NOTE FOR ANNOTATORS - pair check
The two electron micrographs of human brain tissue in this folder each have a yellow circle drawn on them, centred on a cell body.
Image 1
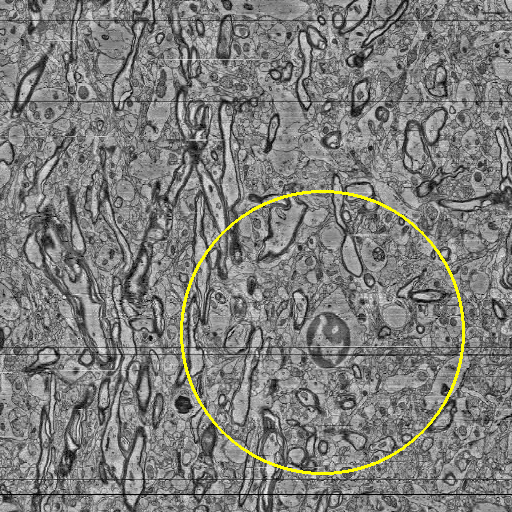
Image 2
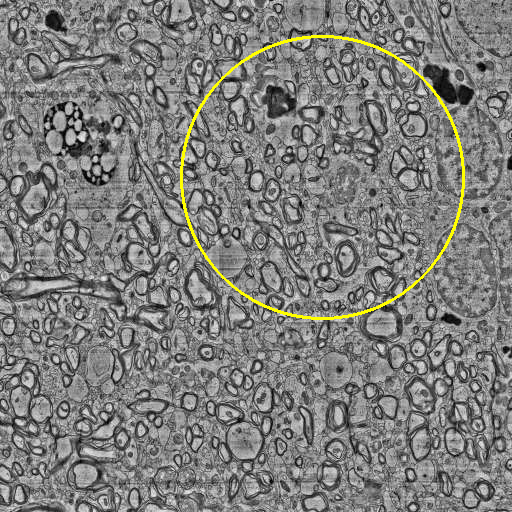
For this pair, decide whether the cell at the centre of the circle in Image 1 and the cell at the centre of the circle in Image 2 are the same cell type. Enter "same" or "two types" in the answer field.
two types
